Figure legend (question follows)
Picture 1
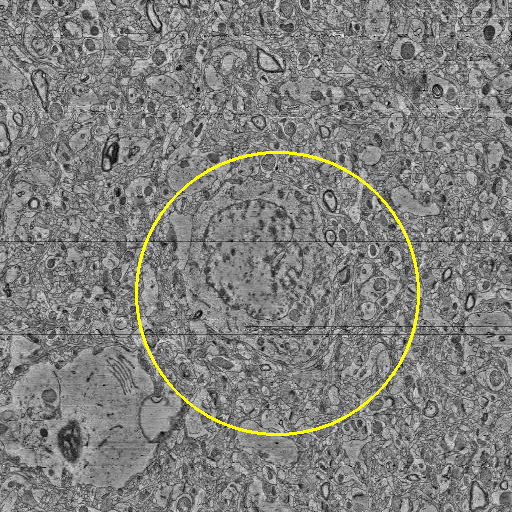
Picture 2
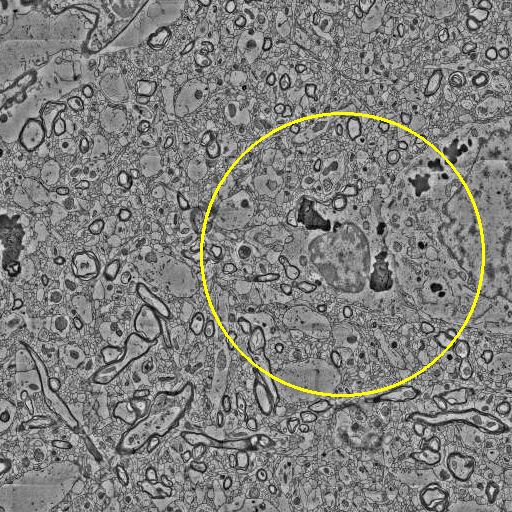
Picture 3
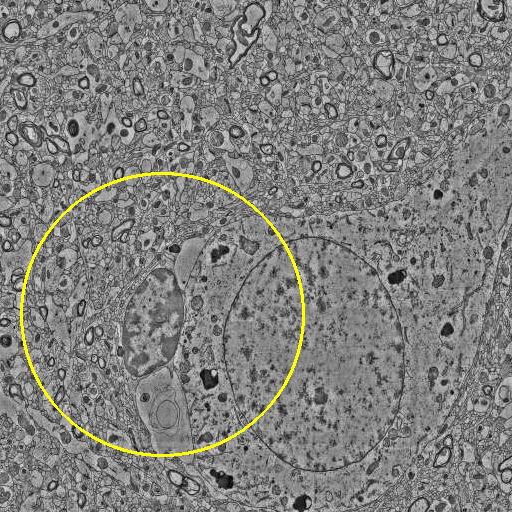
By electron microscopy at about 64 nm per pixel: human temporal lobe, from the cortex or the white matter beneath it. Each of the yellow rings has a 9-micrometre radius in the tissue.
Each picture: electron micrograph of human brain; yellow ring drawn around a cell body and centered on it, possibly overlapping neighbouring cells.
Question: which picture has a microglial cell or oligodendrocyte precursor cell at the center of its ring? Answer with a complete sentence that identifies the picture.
Picture 3 has it at the center of its ring.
